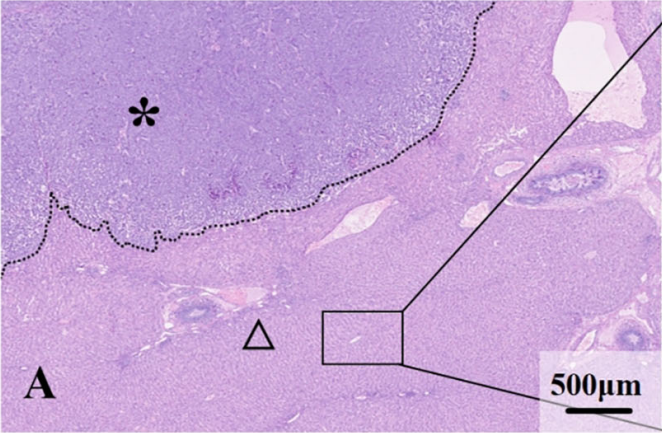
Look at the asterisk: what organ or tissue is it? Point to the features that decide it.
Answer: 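Tumor. The region marked by the asterisk is densely cellular and stains darker purple than the surrounding tissue. A dotted line separates this dense region from paler tissue below.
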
